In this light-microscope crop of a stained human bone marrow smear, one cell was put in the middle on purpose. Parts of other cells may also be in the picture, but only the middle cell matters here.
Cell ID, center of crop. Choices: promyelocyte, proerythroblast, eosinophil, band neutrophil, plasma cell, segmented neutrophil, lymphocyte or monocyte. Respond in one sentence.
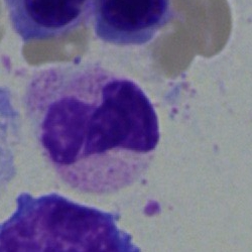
The cell nearest the centre of this crop is a band neutrophil.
